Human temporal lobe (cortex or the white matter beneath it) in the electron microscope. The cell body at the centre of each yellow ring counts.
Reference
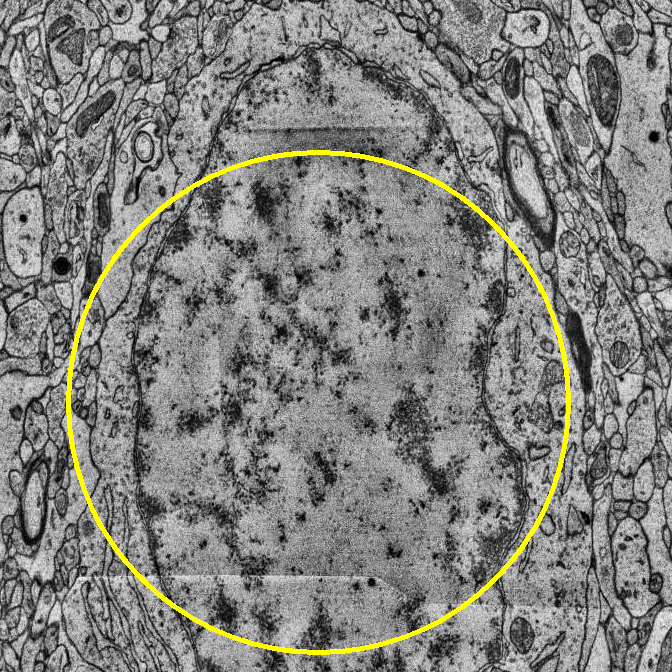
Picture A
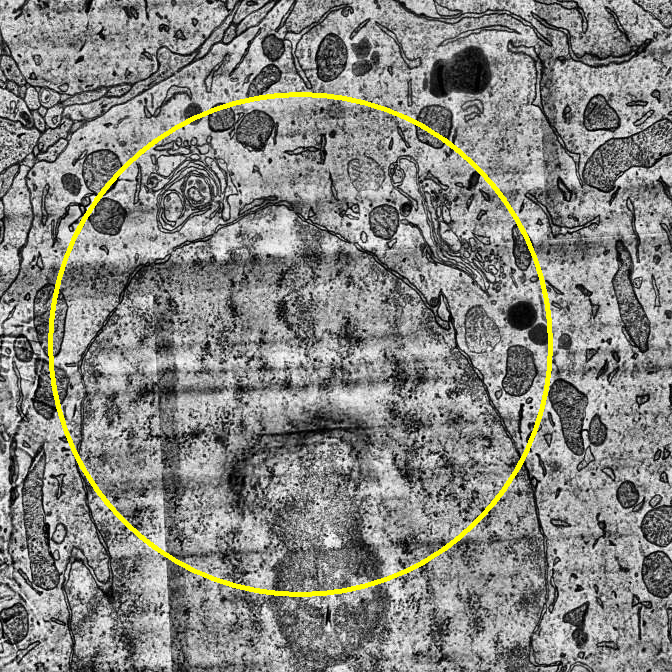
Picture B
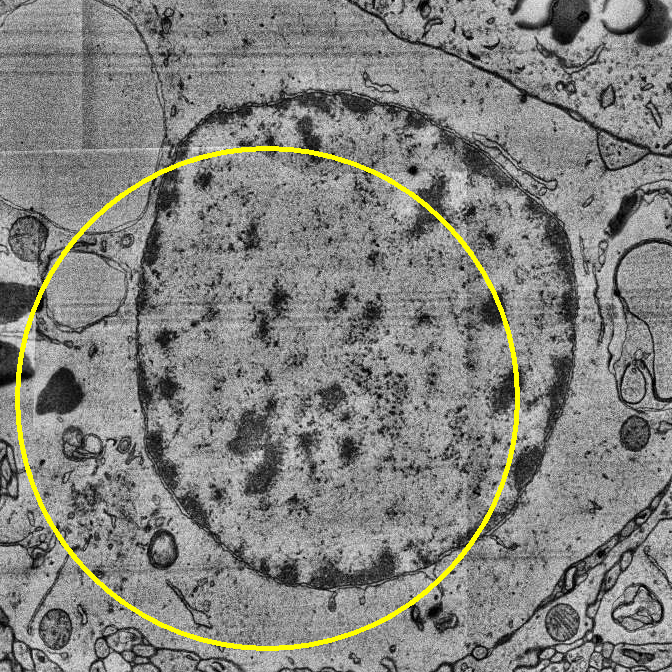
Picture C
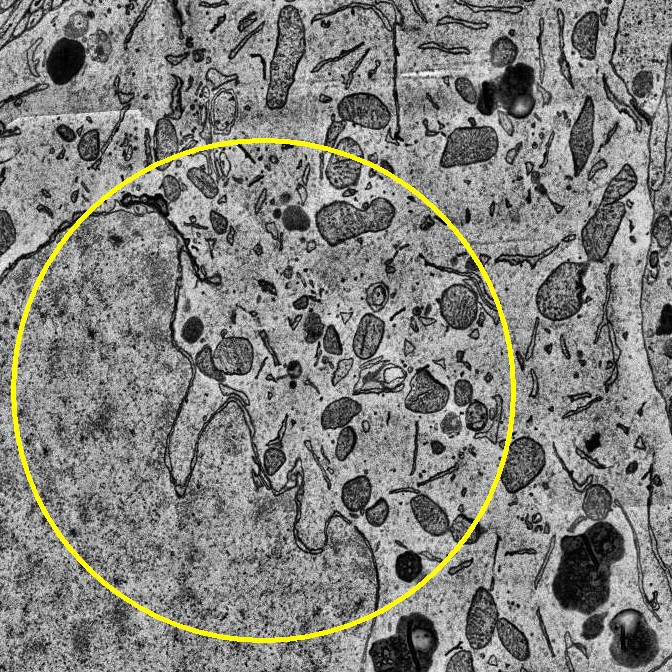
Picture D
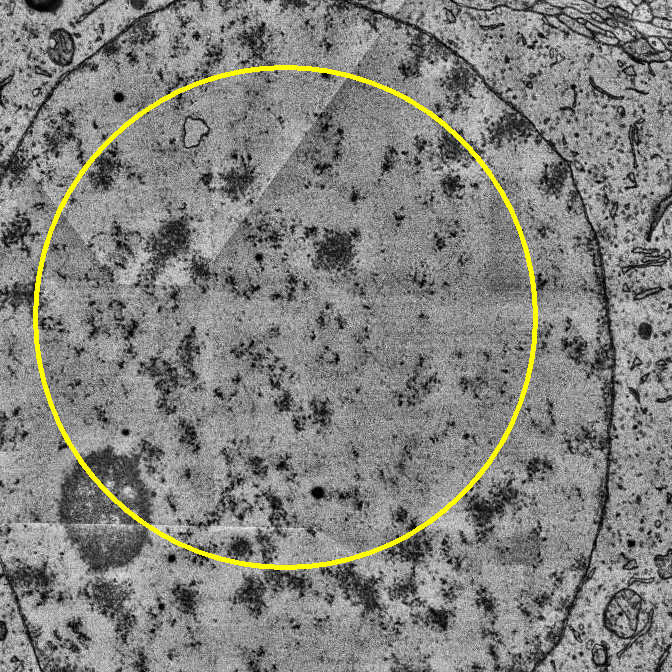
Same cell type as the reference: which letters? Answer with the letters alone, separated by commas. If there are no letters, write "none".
A, C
